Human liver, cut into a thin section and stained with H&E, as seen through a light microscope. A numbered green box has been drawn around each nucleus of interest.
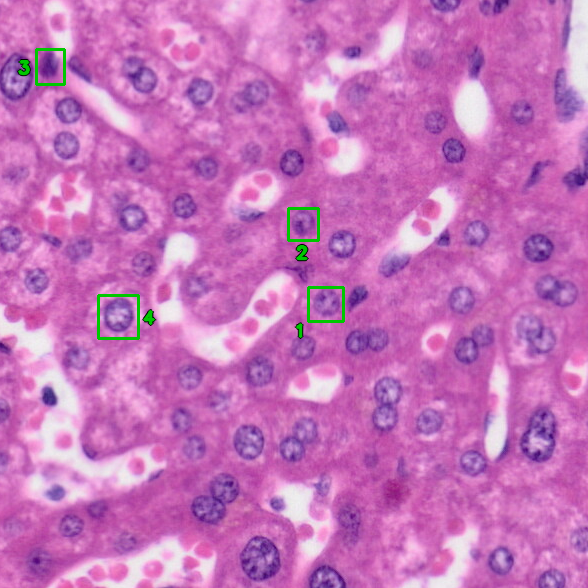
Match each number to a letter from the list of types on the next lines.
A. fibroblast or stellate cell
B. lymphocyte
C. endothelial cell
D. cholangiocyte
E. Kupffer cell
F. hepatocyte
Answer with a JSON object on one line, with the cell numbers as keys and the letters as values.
{"1": "F", "2": "F", "3": "A", "4": "F"}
